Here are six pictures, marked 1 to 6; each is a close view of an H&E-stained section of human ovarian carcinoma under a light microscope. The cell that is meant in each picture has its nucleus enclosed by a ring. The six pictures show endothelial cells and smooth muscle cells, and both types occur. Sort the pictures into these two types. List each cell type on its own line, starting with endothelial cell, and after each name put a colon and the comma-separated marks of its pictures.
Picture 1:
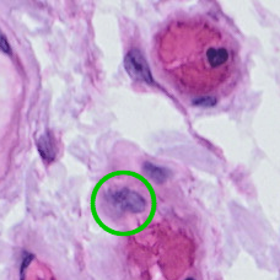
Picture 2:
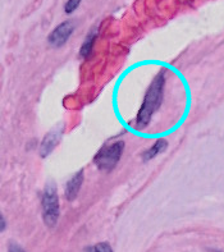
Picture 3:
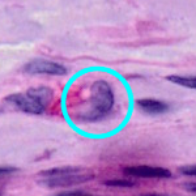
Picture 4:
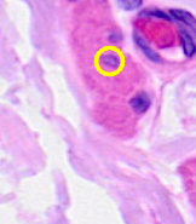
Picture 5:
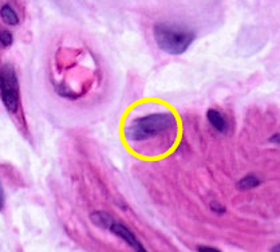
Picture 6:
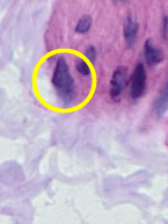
endothelial cell: 1, 2, 3
smooth muscle cell: 4, 5, 6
